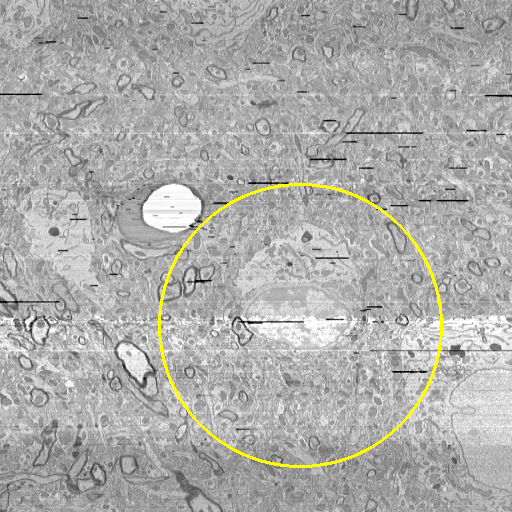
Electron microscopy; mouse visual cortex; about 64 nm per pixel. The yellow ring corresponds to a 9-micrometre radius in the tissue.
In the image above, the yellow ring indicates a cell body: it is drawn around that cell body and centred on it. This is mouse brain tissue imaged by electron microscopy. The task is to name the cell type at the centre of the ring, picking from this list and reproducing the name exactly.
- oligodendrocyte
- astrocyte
oligodendrocyte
